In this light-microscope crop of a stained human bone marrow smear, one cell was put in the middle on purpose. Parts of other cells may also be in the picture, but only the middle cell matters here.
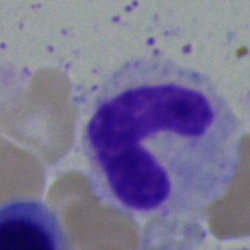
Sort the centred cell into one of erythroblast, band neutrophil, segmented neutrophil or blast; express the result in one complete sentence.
The cell in the middle of this crop is a band neutrophil.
